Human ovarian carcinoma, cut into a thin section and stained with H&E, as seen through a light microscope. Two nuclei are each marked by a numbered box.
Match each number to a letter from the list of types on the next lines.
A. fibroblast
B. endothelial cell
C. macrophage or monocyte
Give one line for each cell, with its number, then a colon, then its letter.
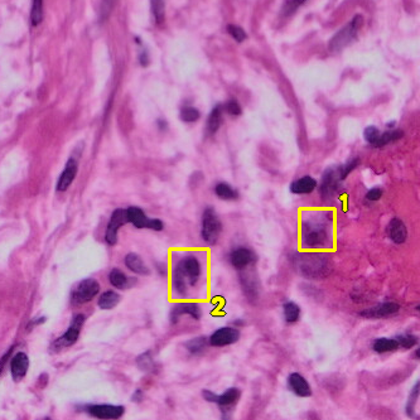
1: B
2: C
